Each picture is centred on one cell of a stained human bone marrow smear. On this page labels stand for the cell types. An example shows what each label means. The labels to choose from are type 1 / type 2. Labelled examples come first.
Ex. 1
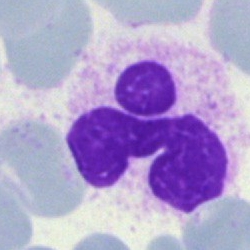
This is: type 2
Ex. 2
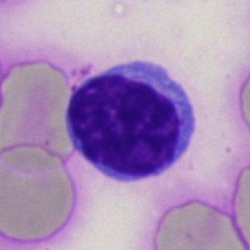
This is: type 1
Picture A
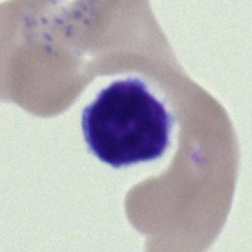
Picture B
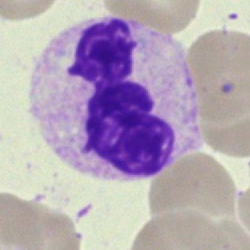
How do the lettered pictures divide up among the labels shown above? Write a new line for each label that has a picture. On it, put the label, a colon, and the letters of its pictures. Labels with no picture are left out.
type 1: A
type 2: B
